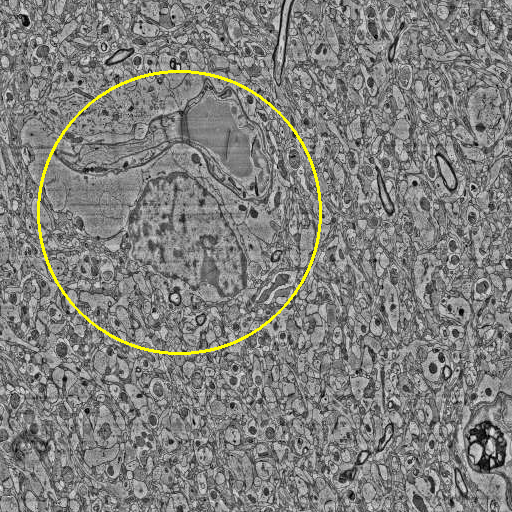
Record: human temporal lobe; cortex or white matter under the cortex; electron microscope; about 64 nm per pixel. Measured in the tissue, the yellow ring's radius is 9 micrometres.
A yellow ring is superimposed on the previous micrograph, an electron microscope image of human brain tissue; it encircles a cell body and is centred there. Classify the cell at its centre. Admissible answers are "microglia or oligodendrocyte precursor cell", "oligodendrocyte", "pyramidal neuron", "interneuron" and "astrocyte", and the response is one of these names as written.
microglia or oligodendrocyte precursor cell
